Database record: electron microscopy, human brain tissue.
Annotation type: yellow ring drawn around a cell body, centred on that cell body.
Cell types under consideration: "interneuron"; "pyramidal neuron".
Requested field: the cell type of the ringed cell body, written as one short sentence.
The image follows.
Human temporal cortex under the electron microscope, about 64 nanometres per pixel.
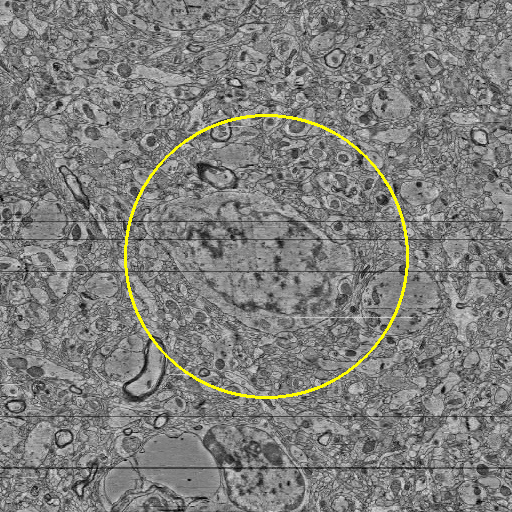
The ringed cell body represents an interneuron.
